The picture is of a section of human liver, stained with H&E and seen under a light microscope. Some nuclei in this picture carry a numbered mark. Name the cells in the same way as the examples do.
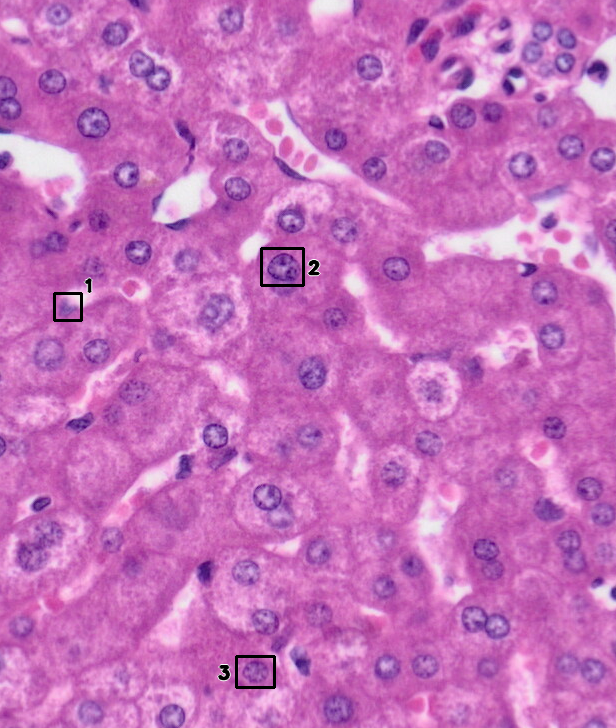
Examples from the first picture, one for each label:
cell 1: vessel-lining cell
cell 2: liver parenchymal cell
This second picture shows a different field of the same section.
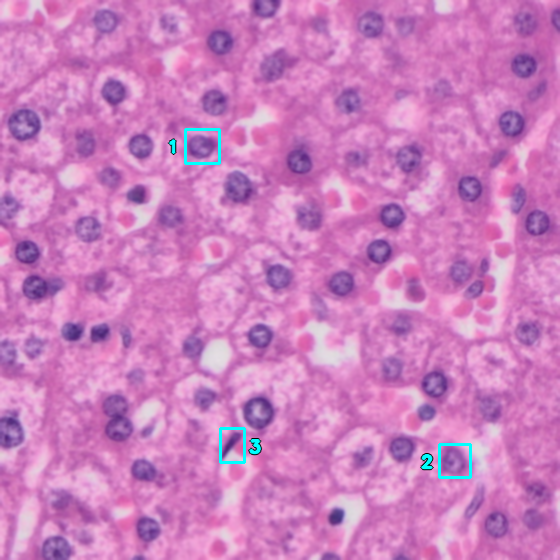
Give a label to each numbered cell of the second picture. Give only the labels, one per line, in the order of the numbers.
liver parenchymal cell
liver parenchymal cell
vessel-lining cell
